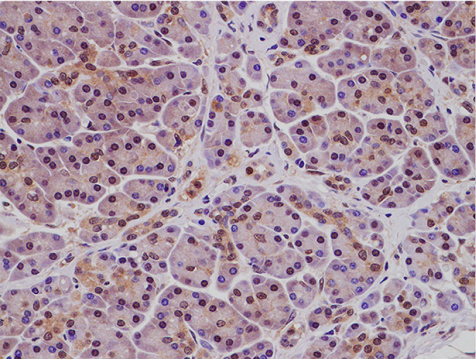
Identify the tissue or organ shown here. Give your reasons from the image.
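Cells are arranged in small rounded acini separated by thin septa. Cells have round nuclei and granular cytoplasm. Uniform lobular pattern without glands in stroma.
Answer: normal pancreatic tissue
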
